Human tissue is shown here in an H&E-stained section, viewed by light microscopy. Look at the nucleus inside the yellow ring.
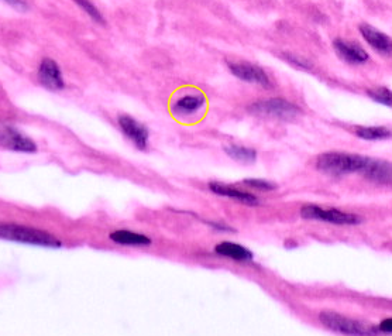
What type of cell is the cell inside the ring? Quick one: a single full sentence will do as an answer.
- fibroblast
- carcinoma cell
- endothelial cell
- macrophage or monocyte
As a matter of cell type, the cell inside the ring is a fibroblast.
